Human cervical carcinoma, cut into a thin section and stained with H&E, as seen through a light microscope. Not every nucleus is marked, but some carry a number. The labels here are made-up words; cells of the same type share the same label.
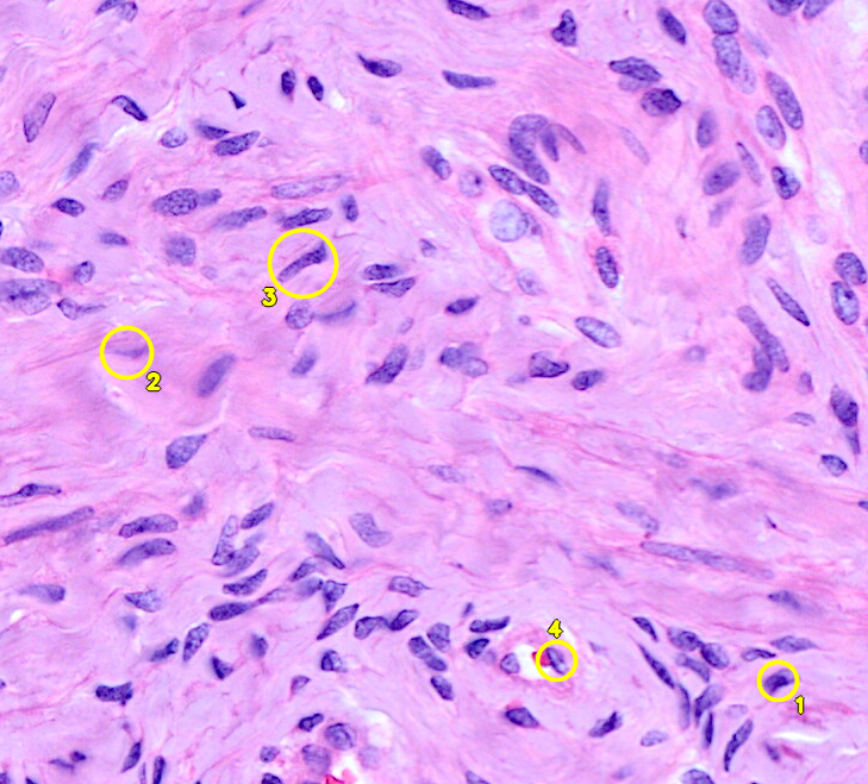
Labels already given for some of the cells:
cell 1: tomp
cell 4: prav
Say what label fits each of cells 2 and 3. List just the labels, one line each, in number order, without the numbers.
tomp
tomp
